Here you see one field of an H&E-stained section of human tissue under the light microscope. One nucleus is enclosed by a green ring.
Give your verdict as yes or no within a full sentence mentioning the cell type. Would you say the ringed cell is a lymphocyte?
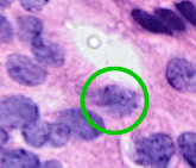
No; the ringed cell should be labelled a carcinoma cell rather than a lymphocyte.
